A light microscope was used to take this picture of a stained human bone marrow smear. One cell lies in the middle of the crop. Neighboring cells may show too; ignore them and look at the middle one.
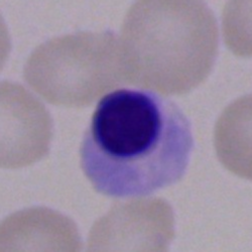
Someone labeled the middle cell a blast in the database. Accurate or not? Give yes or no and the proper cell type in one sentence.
No, the central cell is not a blast; it is a normoblast instead.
